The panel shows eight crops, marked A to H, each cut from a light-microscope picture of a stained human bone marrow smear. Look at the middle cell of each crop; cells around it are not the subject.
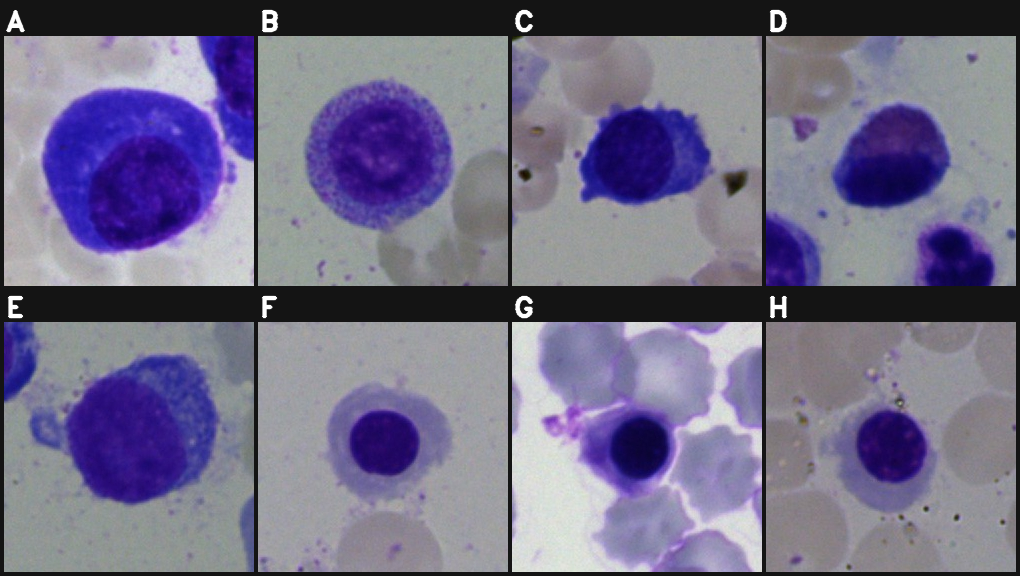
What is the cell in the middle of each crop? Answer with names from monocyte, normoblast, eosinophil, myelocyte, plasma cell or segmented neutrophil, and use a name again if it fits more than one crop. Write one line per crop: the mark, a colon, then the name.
A: plasma cell
B: myelocyte
C: plasma cell
D: eosinophil
E: plasma cell
F: normoblast
G: normoblast
H: normoblast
